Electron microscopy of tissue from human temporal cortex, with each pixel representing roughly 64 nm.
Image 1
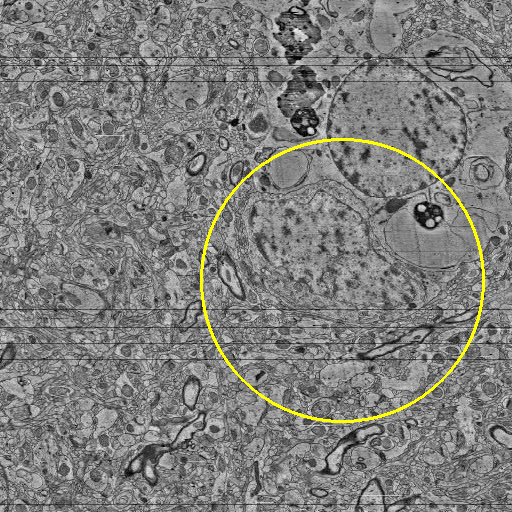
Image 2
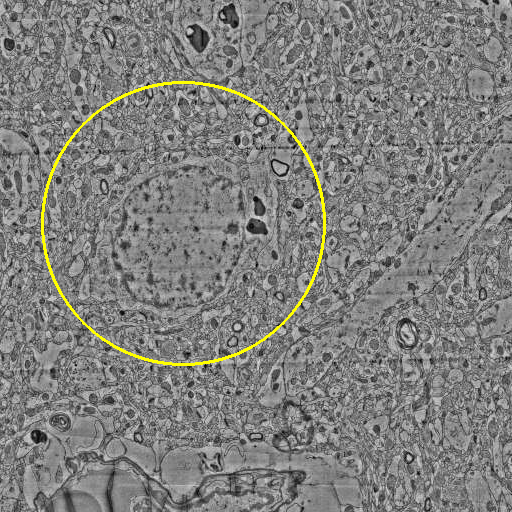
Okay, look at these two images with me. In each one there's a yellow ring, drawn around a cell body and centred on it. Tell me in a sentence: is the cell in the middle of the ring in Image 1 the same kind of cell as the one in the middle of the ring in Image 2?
Yes, they're the same kind of cell.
